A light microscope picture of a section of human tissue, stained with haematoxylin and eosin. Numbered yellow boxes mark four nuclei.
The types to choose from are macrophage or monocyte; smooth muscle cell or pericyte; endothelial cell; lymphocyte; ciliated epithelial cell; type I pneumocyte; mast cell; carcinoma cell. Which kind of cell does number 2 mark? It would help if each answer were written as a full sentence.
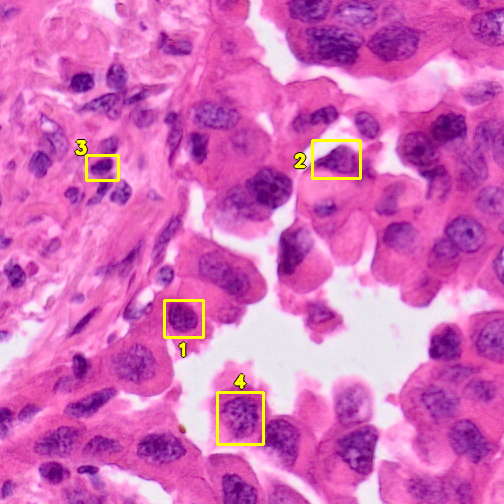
Here the cell numbered 2 is a carcinoma cell.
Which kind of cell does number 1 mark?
Belonging to a carcinoma cell is the nucleus that carries the number 1.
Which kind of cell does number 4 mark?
Identified as a carcinoma cell is the cell bearing the number 4.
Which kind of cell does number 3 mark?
Looking at the numbered marks, cell 3 is a lymphocyte.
